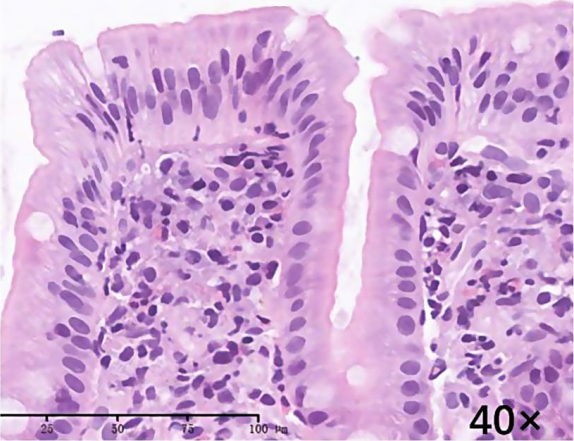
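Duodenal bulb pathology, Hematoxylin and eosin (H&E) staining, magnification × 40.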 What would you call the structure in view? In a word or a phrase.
small intestinal villi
